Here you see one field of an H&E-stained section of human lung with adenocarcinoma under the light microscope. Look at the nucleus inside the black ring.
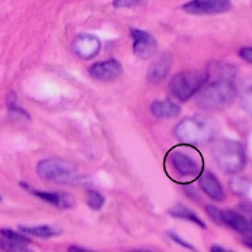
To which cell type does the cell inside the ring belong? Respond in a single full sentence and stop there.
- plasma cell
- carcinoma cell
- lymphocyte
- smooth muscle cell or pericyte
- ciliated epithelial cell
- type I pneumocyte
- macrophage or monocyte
In the context of this tissue, the cell inside the ring is a ciliated epithelial cell.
